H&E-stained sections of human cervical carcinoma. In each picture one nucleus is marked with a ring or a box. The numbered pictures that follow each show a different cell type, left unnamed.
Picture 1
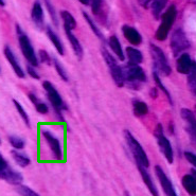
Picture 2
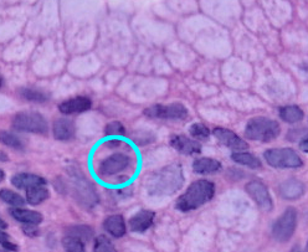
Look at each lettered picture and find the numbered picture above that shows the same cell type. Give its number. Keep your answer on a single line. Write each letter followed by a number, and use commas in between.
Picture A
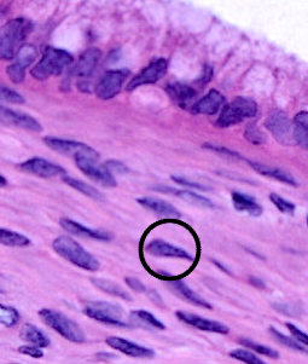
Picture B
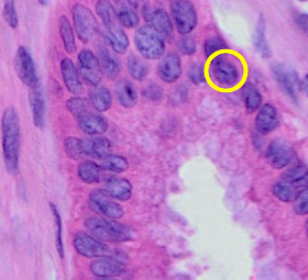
A 1, B 2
